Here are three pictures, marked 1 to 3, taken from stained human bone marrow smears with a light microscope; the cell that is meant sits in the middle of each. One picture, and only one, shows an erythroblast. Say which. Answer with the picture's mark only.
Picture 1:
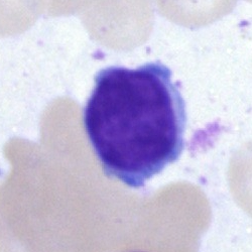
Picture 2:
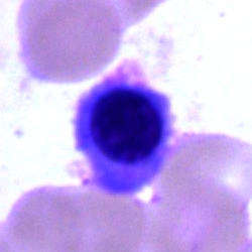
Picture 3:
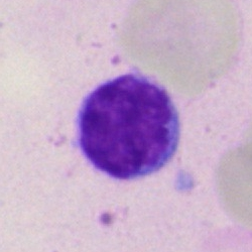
2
